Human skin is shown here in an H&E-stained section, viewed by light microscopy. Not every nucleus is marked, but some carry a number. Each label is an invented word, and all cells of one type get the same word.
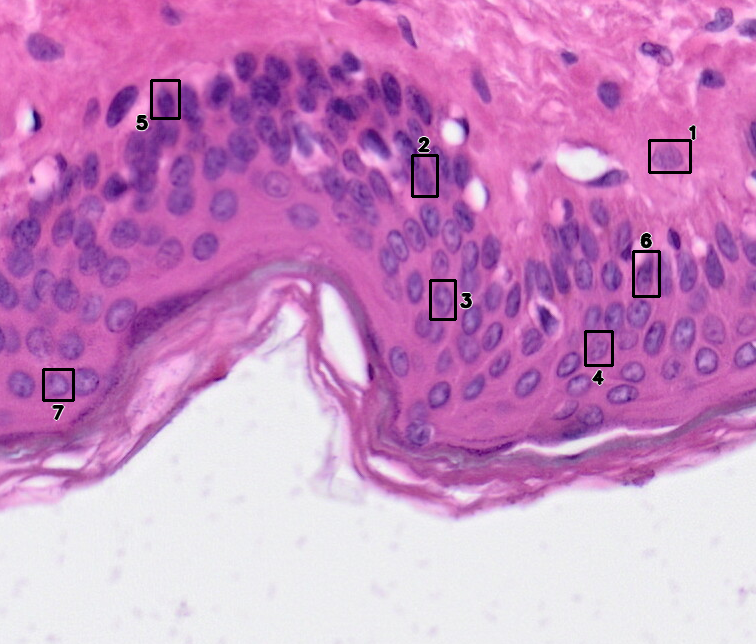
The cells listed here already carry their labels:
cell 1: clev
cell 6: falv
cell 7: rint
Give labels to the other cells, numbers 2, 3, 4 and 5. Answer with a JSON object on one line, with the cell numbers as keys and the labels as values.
{"2": "falv", "3": "rint", "4": "rint", "5": "falv"}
